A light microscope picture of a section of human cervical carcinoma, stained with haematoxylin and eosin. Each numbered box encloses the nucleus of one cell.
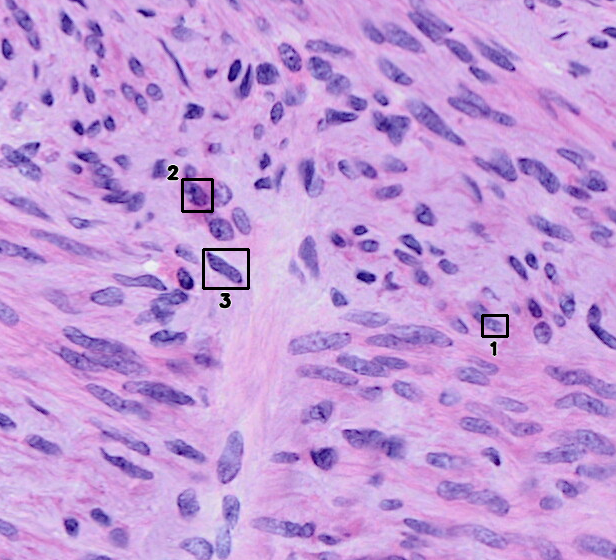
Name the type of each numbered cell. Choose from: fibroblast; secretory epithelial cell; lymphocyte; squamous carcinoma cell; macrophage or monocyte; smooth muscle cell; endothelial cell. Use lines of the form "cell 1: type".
cell 1: smooth muscle cell
cell 2: endothelial cell
cell 3: fibroblast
